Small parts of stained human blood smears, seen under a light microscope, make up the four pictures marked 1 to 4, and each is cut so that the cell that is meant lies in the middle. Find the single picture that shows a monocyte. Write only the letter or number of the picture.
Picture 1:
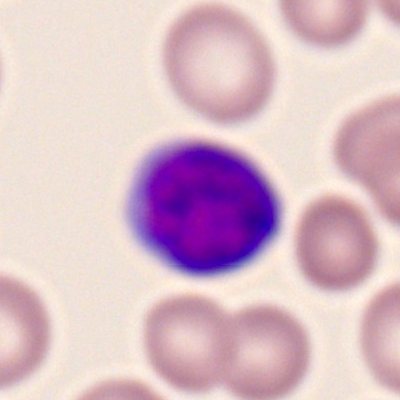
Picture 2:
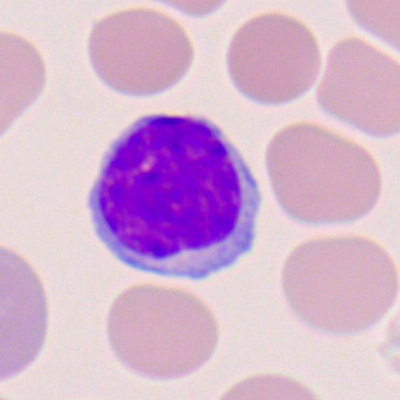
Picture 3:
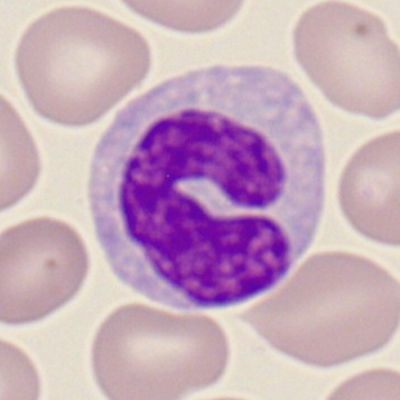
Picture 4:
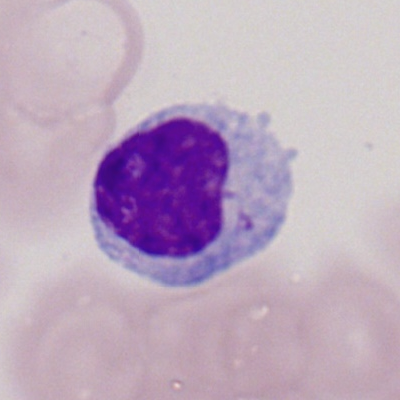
3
